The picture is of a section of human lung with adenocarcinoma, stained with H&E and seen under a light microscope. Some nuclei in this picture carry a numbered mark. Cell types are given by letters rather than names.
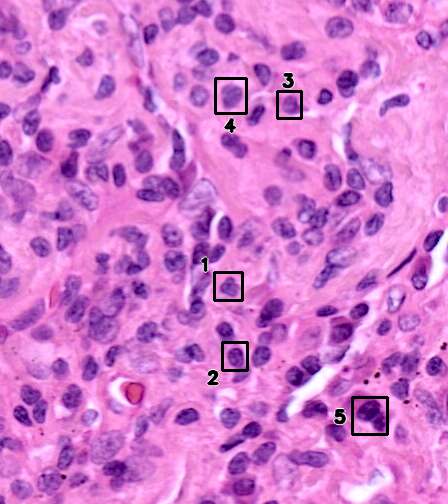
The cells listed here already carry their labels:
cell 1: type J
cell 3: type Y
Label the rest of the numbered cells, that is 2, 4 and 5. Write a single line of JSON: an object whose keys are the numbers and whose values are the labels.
{"2": "type J", "4": "type J", "5": "type Y"}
